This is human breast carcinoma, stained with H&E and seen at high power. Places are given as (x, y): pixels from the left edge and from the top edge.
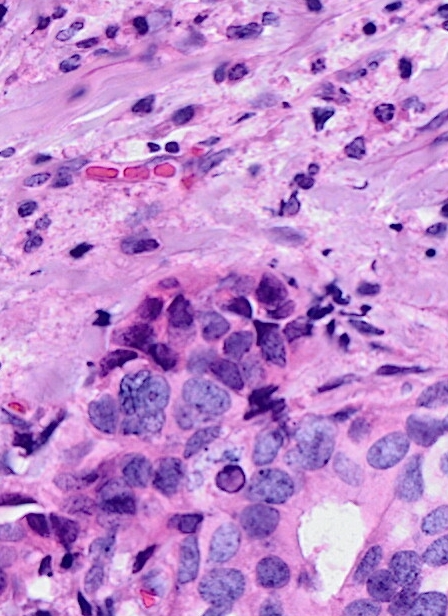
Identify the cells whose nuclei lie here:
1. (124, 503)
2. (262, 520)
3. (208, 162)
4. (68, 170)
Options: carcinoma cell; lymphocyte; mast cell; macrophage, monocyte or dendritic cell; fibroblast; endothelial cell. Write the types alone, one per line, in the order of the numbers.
carcinoma cell
carcinoma cell
endothelial cell
endothelial cell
